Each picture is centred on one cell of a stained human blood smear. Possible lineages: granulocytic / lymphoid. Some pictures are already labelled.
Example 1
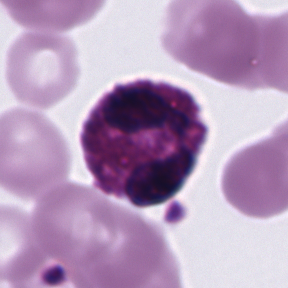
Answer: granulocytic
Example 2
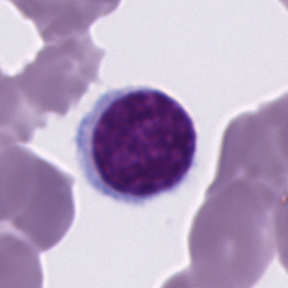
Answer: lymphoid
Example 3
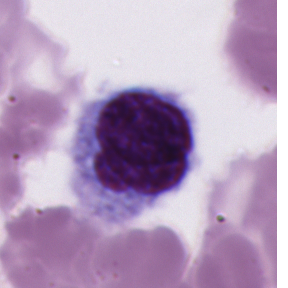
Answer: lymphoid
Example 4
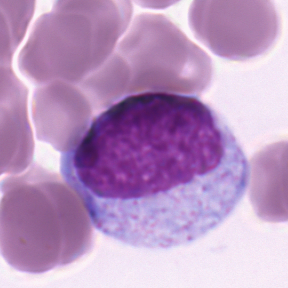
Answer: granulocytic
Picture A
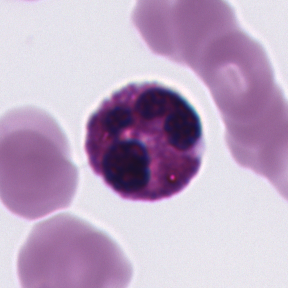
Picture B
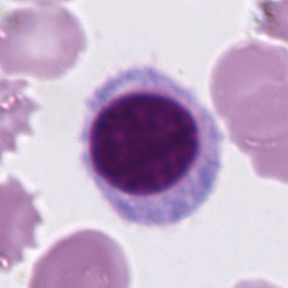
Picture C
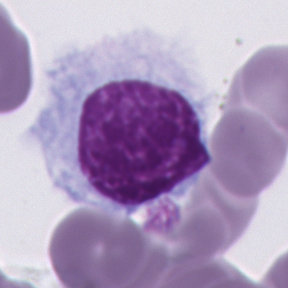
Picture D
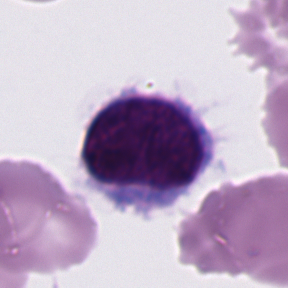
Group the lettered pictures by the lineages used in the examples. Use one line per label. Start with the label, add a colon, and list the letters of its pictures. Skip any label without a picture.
granulocytic: A
lymphoid: B, C, D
